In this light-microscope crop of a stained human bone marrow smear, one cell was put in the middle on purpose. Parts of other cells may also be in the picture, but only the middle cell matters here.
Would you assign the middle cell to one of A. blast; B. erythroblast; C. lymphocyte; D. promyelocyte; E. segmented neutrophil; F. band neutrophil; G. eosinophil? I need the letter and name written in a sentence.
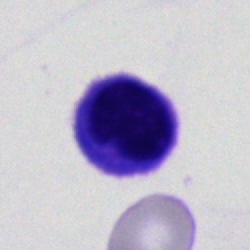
The best answer is option C, since the cell in the middle is a lymphocyte.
